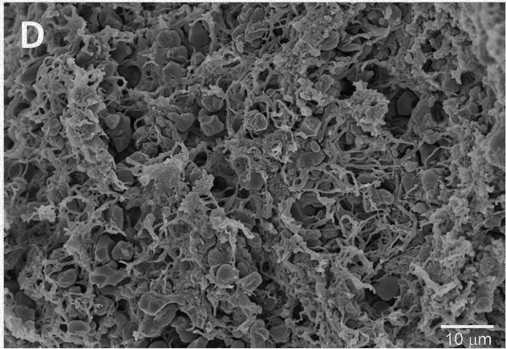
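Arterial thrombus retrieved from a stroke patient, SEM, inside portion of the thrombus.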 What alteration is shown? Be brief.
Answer: partially compressed erythrocytes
